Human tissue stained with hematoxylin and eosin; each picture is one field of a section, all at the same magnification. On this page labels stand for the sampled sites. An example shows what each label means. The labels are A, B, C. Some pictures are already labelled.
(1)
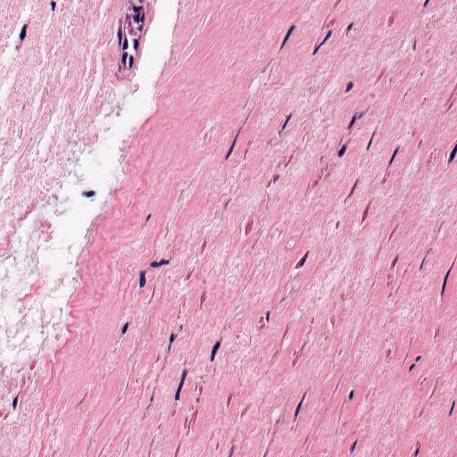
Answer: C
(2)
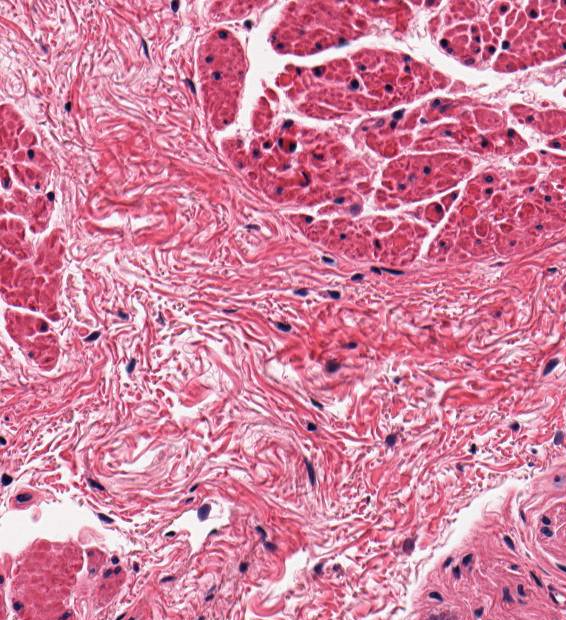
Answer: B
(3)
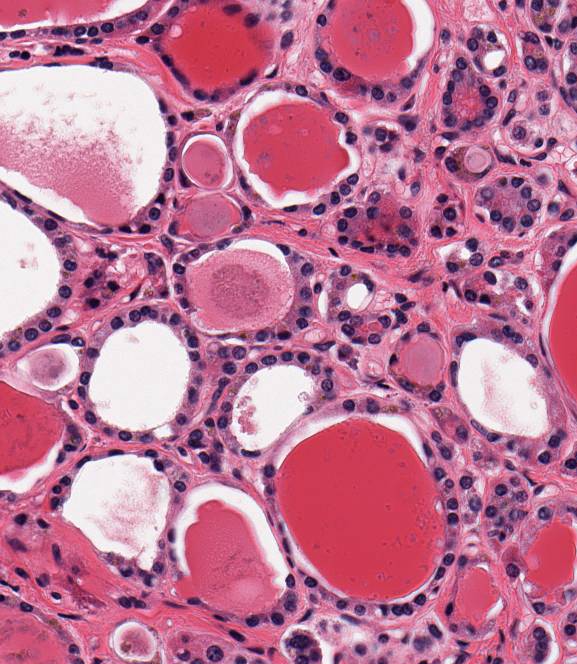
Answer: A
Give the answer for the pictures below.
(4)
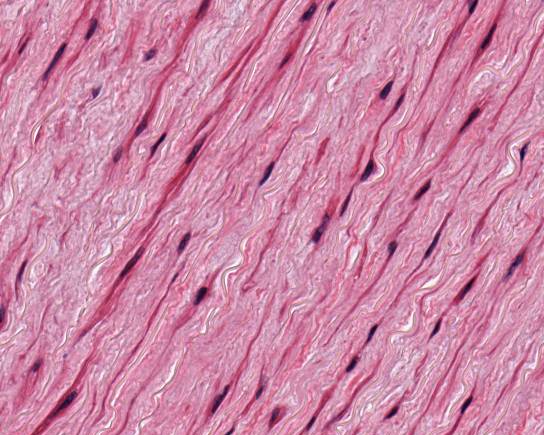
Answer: C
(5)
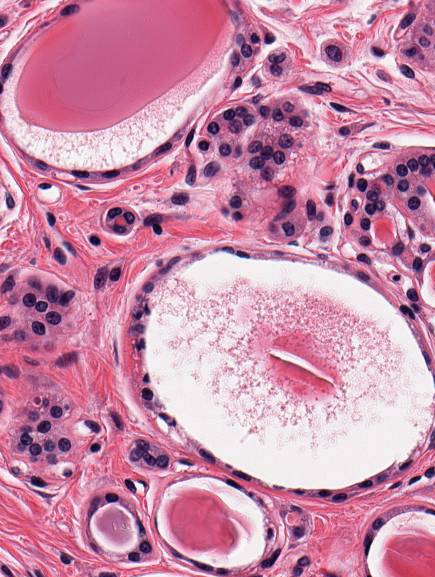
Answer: A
